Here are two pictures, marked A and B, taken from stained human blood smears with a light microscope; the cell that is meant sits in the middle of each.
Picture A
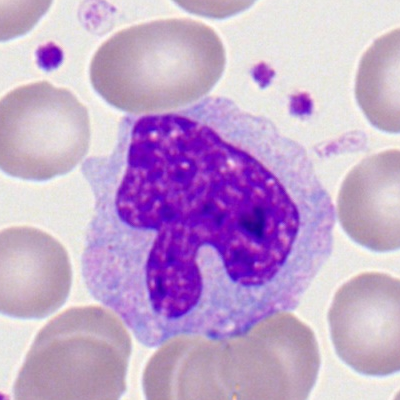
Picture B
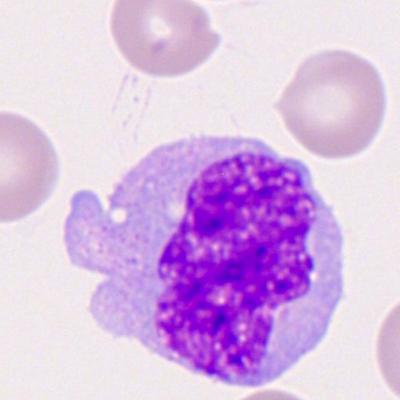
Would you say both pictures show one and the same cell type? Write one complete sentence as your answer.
Yes; the cells in both pictures are monocytes.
